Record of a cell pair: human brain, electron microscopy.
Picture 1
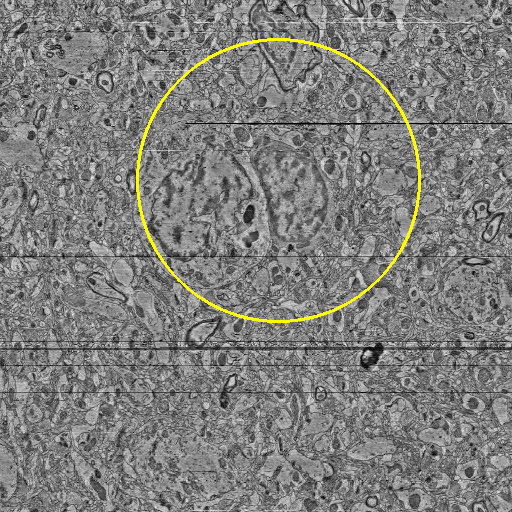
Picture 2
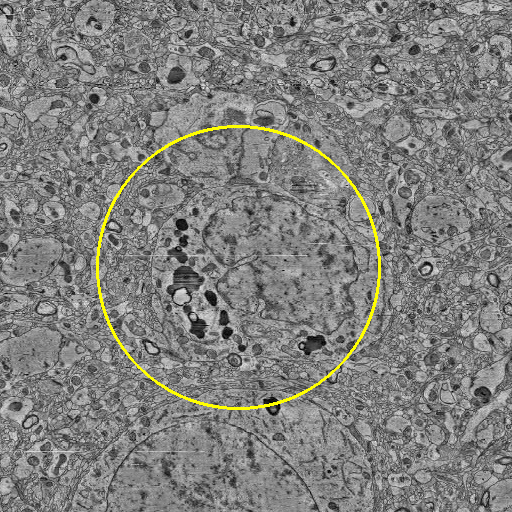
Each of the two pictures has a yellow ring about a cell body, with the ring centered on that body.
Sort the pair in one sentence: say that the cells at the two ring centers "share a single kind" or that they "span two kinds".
The cells centered in the rings of Pictures 1 and 2 span two kinds.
